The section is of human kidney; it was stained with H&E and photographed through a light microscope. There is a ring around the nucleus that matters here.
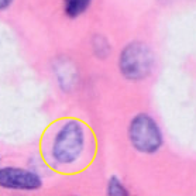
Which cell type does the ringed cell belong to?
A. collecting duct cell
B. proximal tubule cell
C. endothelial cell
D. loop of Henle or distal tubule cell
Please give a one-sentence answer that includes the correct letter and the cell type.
Option A is correct in stating that the ringed cell is a collecting duct cell.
